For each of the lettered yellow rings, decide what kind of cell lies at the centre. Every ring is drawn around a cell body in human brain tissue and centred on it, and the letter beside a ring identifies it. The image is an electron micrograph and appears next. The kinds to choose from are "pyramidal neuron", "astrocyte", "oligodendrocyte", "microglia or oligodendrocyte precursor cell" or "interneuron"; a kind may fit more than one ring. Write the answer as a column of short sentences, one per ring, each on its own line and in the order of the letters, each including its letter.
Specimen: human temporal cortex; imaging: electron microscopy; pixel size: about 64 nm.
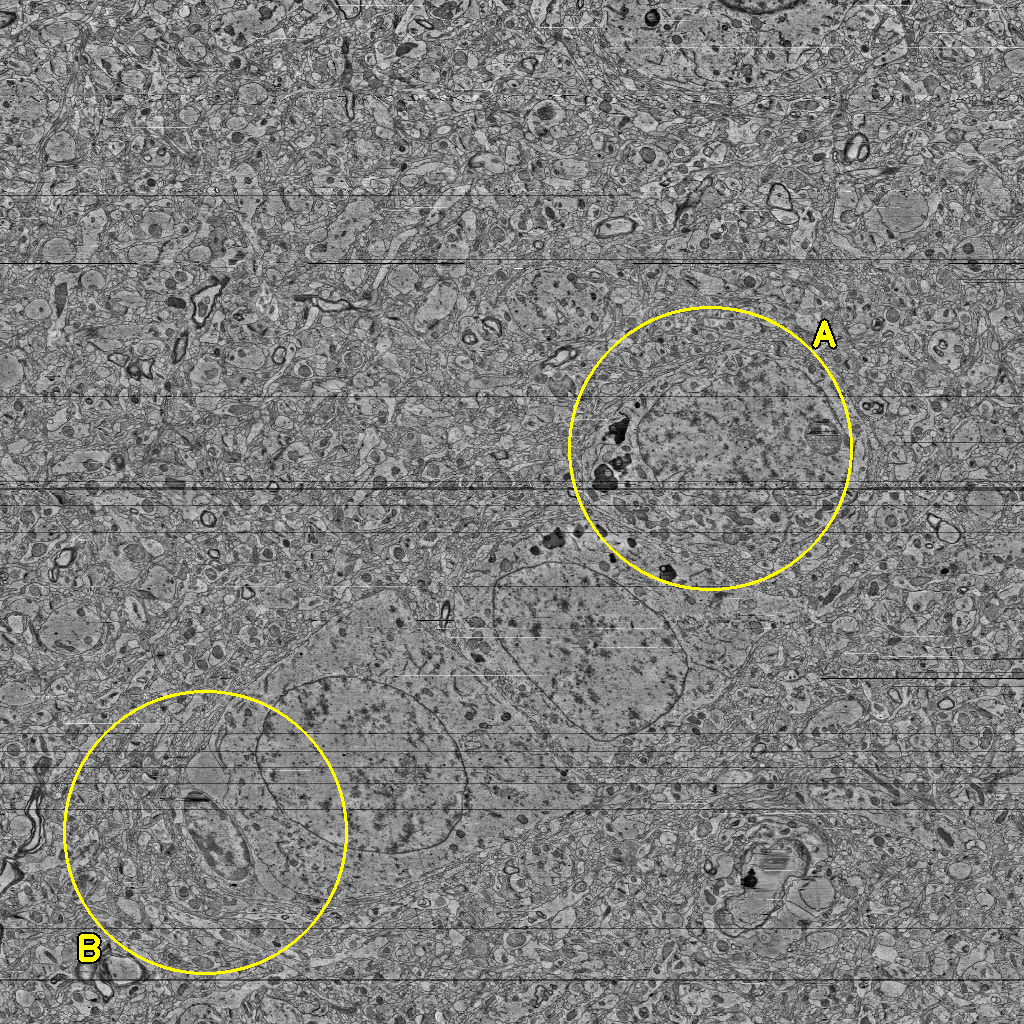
In the centre of ring A lies an interneuron.
In the centre of ring B lies a microglial cell or oligodendrocyte precursor cell.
